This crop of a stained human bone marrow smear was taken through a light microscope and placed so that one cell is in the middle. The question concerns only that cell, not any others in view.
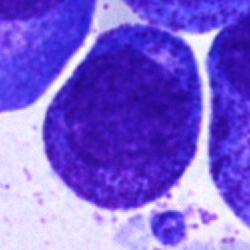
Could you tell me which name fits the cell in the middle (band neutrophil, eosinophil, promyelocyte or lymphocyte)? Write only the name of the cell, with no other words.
promyelocyte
